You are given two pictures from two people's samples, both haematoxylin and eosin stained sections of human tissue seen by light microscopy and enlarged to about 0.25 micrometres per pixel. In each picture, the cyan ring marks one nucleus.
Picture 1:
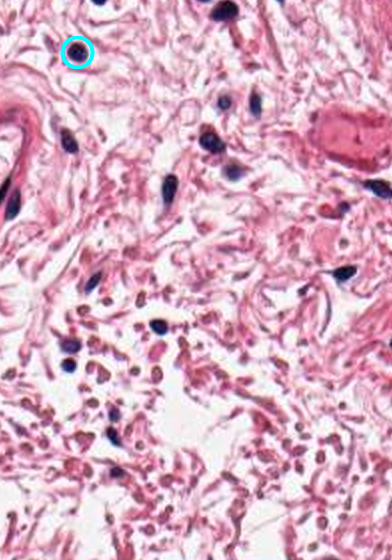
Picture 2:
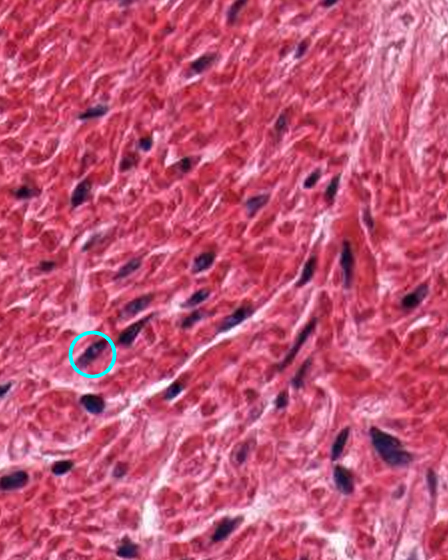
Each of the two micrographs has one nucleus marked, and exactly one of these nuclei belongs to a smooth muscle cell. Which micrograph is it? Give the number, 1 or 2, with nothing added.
2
